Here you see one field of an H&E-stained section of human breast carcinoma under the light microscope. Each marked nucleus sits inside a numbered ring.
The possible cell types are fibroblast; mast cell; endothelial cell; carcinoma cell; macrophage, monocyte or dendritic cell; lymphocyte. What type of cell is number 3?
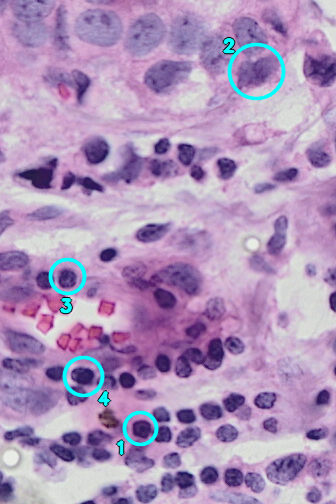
lymphocyte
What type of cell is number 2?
carcinoma cell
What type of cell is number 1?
lymphocyte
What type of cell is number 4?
lymphocyte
